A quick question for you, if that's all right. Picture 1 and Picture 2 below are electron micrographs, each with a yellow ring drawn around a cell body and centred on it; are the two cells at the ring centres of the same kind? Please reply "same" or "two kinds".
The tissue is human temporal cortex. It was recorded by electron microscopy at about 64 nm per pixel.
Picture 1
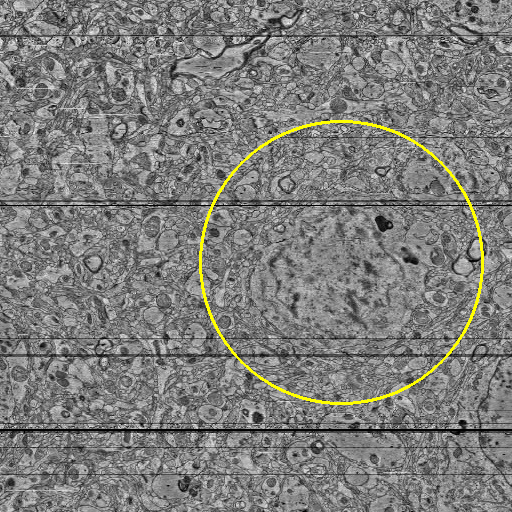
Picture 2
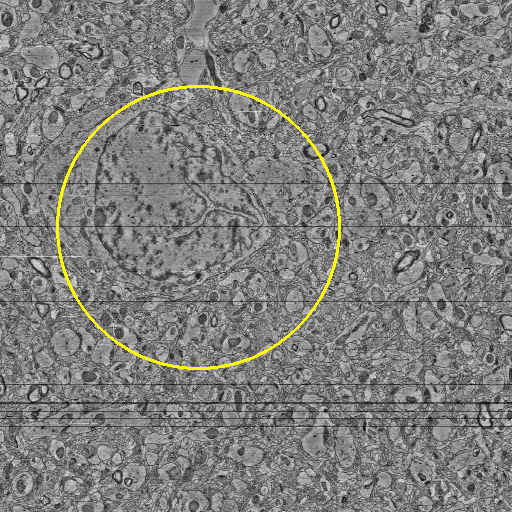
same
